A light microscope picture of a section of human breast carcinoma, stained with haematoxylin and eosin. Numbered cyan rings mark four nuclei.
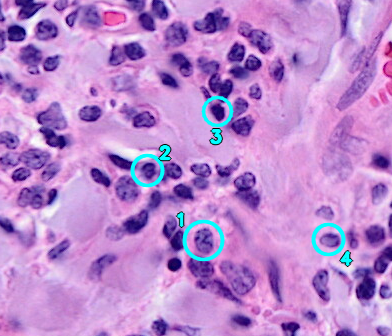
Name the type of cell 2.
lymphocyte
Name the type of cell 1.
mast cell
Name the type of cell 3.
lymphocyte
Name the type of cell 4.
lymphocyte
